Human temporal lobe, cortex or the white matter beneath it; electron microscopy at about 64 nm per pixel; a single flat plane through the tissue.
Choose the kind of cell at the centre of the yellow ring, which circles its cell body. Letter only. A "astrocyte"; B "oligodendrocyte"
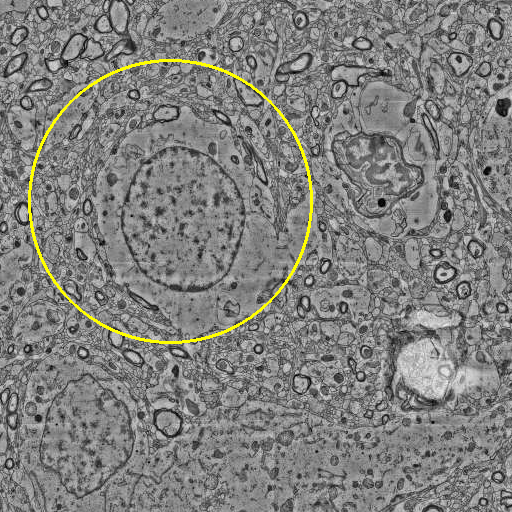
A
